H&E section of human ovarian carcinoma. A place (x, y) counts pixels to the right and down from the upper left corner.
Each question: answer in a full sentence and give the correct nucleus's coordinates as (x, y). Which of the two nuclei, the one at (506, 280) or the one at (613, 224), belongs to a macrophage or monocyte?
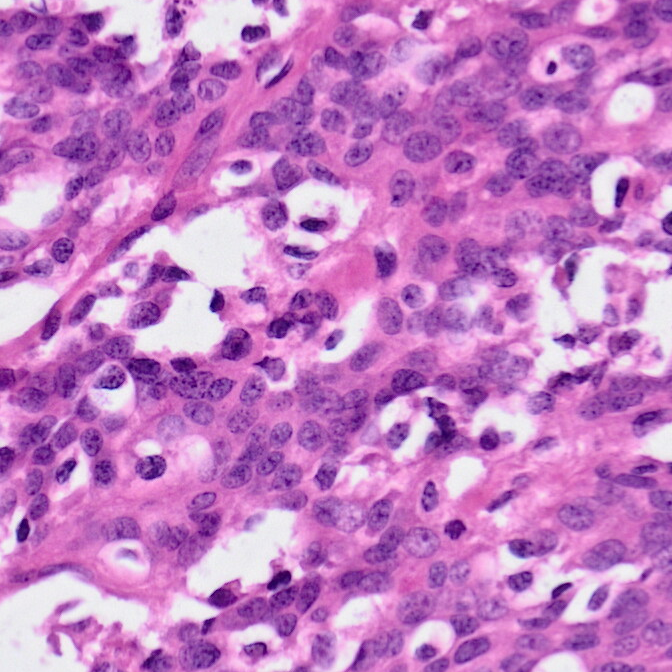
In this pair, the nucleus at (506, 280) belongs to a macrophage or monocyte.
